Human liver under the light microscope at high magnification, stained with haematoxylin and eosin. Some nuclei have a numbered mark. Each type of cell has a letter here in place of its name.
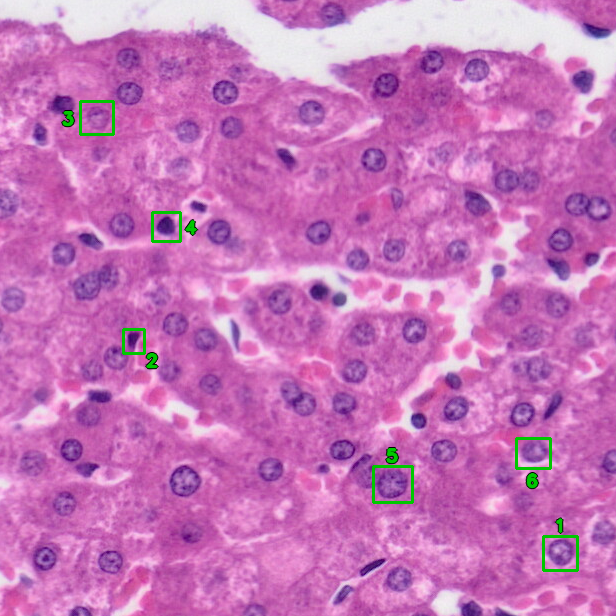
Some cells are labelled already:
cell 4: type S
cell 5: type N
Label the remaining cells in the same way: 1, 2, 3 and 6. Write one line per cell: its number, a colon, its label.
1: type N
2: type S
3: type N
6: type N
